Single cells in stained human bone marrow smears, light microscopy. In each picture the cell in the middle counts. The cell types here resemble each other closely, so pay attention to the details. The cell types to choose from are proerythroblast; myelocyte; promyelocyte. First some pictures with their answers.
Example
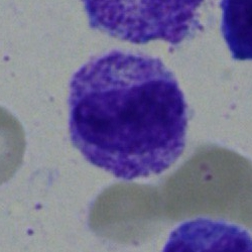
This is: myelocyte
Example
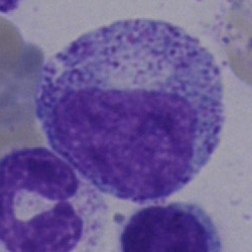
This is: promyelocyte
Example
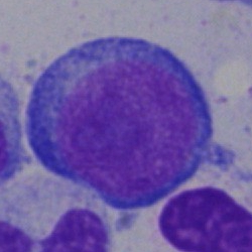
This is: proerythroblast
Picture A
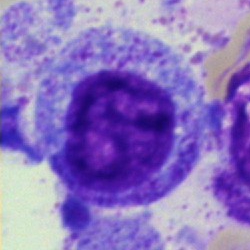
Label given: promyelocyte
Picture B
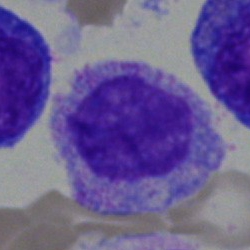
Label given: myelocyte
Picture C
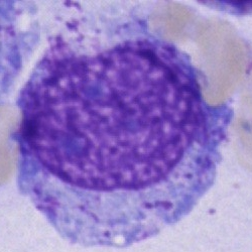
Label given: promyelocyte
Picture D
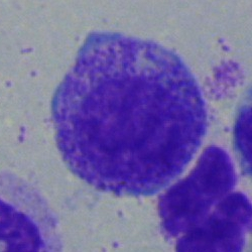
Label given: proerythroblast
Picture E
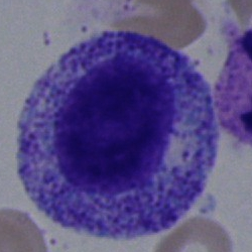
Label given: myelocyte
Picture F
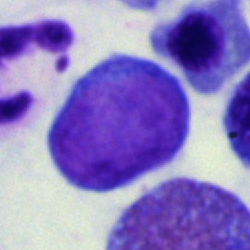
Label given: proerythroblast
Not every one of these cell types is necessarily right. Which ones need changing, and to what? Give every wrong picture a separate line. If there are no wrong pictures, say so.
Wrong: D (proerythroblast); correct: myelocyte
